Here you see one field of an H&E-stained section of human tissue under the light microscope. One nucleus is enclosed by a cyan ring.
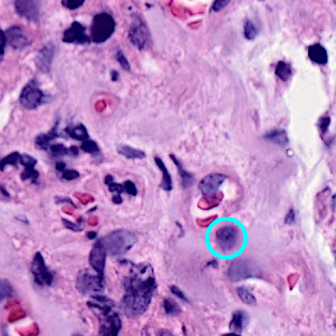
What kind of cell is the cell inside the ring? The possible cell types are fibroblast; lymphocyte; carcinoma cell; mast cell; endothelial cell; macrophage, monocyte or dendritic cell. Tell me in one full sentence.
As far as its identity is concerned, the cell inside the ring is an endothelial cell.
